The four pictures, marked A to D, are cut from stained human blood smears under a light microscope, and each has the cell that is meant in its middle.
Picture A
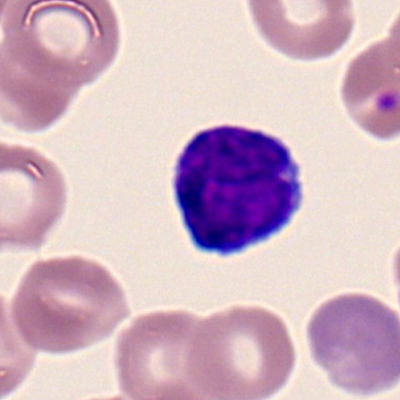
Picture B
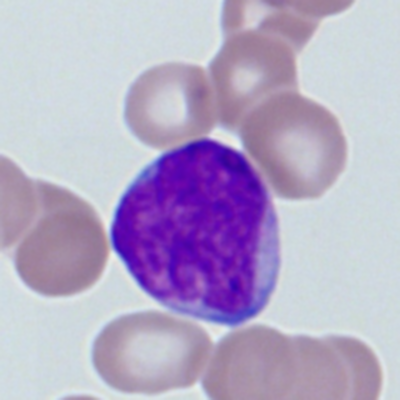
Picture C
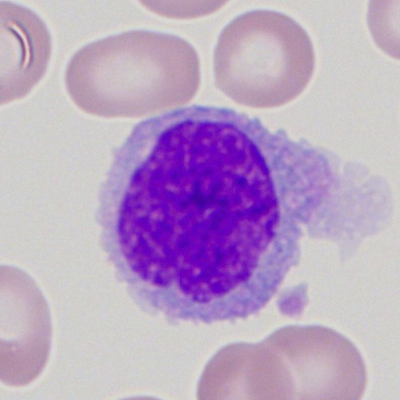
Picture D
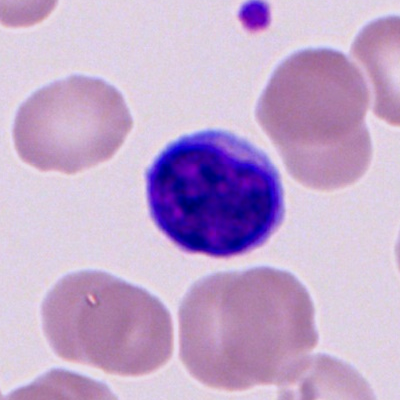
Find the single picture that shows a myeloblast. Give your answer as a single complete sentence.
Picture B is the one that shows the myeloblast.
